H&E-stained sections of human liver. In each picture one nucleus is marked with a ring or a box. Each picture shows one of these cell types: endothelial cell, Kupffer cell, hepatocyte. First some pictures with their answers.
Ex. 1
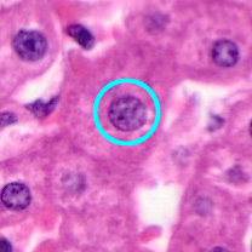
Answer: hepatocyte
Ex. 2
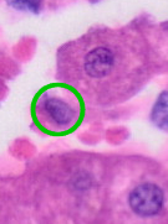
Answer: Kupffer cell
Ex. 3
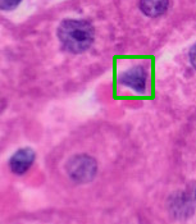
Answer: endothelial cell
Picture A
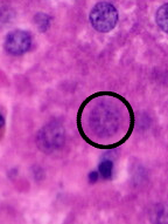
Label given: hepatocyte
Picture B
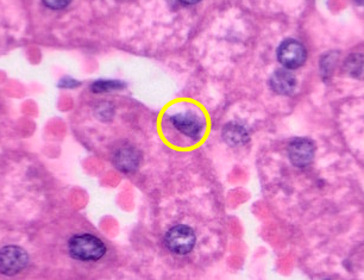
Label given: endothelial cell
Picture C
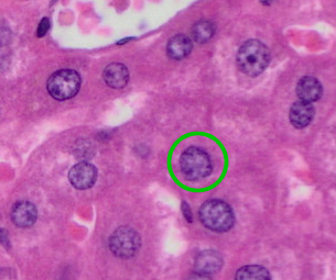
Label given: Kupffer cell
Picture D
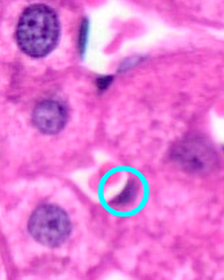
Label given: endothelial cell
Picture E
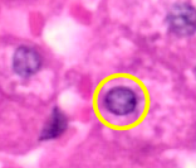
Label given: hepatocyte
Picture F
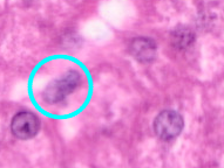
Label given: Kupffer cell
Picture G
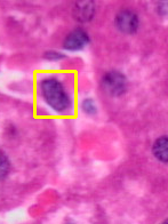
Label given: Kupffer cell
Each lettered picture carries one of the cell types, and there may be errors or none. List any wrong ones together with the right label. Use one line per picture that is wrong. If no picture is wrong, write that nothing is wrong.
C: not Kupffer cell but hepatocyte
